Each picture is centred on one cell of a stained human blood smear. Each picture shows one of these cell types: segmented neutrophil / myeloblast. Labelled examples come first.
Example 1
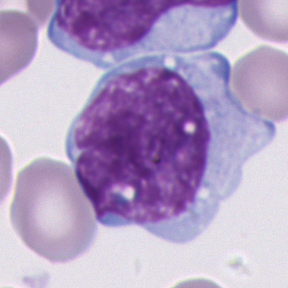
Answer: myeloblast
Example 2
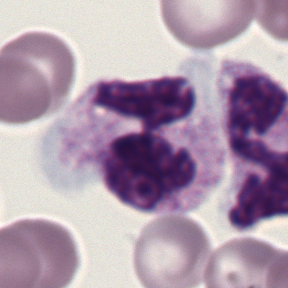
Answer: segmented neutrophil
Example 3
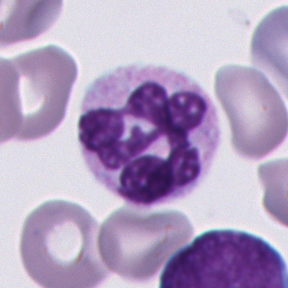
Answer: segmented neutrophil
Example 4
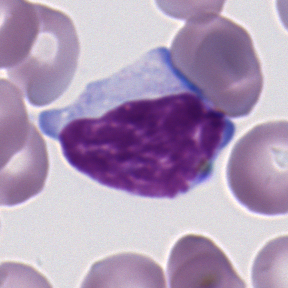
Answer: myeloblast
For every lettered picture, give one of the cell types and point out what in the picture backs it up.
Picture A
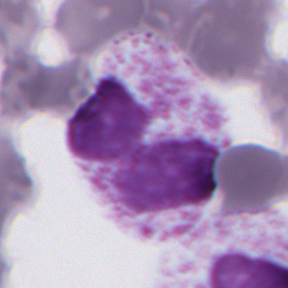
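segmented neutrophil: Between the granules the cytoplasm is pale, almost colourless.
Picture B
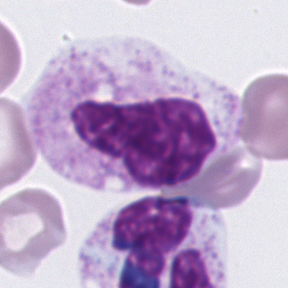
segmented neutrophil: Between the granules the cytoplasm is very pale, almost colourless.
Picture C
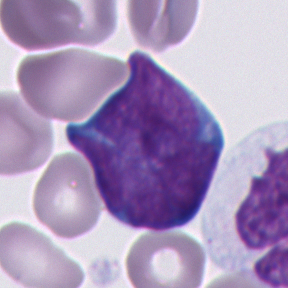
myeloblast: The cytoplasm is only a thin deep-blue rim at the edge of the cell.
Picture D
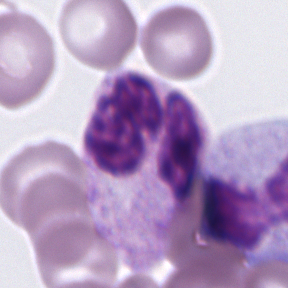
segmented neutrophil: The nucleus is made of two separate lobes lying side by side.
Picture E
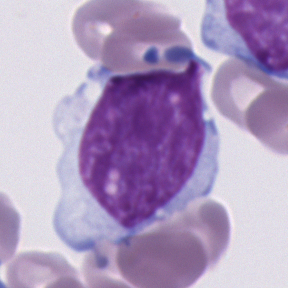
myeloblast: The nucleus takes up the larger part of the cell.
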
